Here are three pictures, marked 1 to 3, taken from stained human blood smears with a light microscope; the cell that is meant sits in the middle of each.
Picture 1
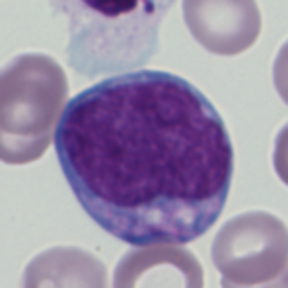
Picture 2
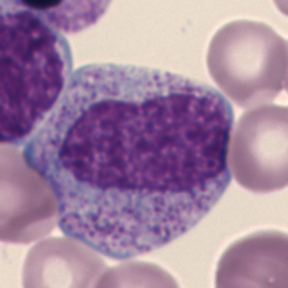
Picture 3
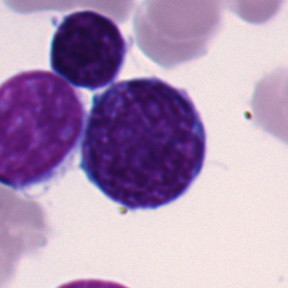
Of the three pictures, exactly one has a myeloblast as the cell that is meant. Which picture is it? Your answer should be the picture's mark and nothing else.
3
